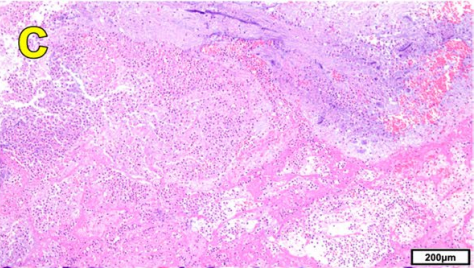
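At low power this is an inflammatory exudate without organized tissue structure. Pale pink amorphous material forms streaks and sheets across the field. Dense purple collections of inflammatory cells are concentrated in some areas, especially at the upper part. Patches of bright red blood cells lie at one edge.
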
